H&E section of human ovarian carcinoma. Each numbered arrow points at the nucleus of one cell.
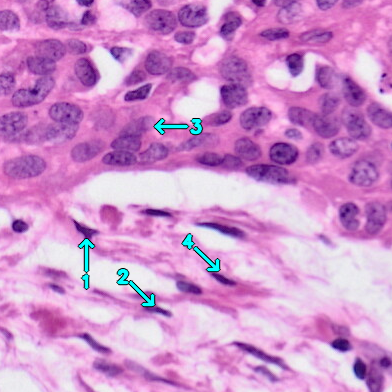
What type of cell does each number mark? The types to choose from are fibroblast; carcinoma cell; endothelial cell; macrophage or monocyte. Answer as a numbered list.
1. fibroblast
2. fibroblast
3. carcinoma cell
4. fibroblast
